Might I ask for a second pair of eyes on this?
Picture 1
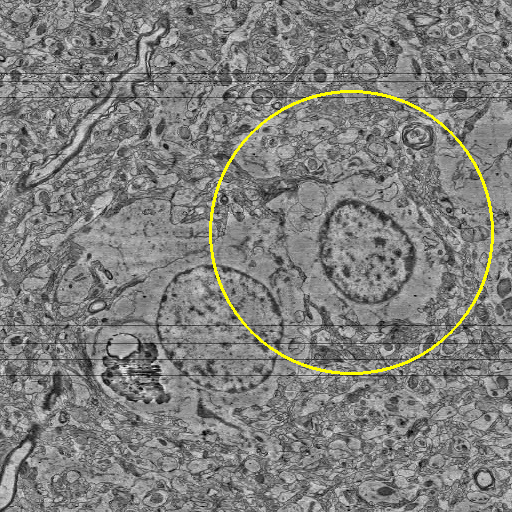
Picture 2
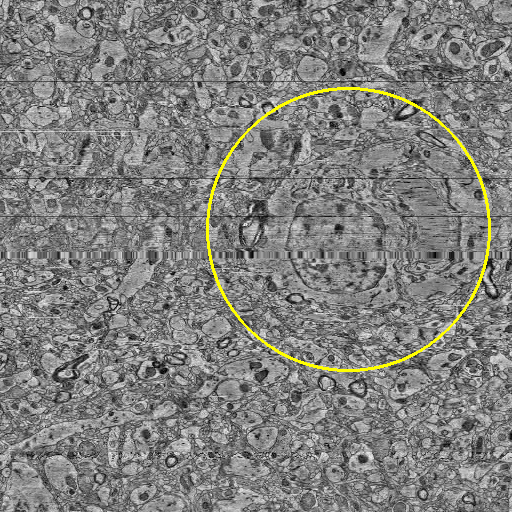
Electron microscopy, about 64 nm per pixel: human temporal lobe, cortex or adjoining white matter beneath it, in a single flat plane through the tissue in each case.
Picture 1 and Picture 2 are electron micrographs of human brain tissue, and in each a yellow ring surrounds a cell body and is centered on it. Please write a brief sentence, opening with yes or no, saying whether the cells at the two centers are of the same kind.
No, the cells are of two kinds.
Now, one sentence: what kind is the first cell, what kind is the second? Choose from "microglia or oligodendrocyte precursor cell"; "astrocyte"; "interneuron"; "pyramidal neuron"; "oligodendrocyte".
The first picture has an astrocyte at its ring centre, and the second has a microglial cell or oligodendrocyte precursor cell.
